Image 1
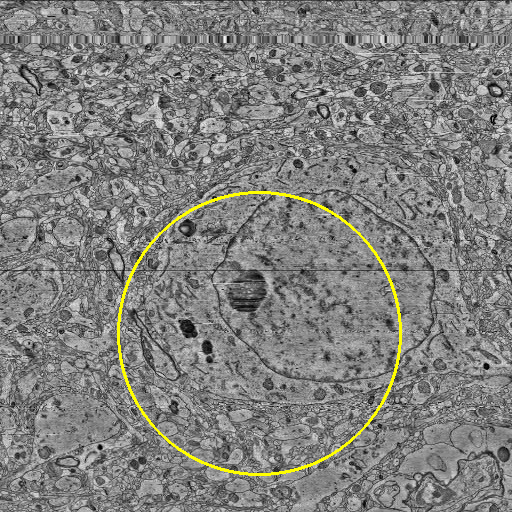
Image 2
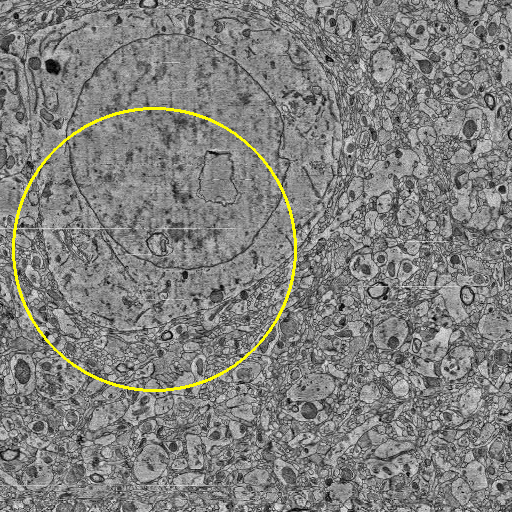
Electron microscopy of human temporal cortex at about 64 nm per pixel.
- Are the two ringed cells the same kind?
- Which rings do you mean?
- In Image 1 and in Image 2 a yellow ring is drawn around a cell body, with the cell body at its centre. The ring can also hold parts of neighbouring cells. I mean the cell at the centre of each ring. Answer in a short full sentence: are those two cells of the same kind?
Yes, both cells are of the same kind.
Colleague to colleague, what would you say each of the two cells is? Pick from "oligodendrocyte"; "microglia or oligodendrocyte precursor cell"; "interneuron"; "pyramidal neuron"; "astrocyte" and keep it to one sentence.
Both cells are the same kind, each one being a pyramidal neuron.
